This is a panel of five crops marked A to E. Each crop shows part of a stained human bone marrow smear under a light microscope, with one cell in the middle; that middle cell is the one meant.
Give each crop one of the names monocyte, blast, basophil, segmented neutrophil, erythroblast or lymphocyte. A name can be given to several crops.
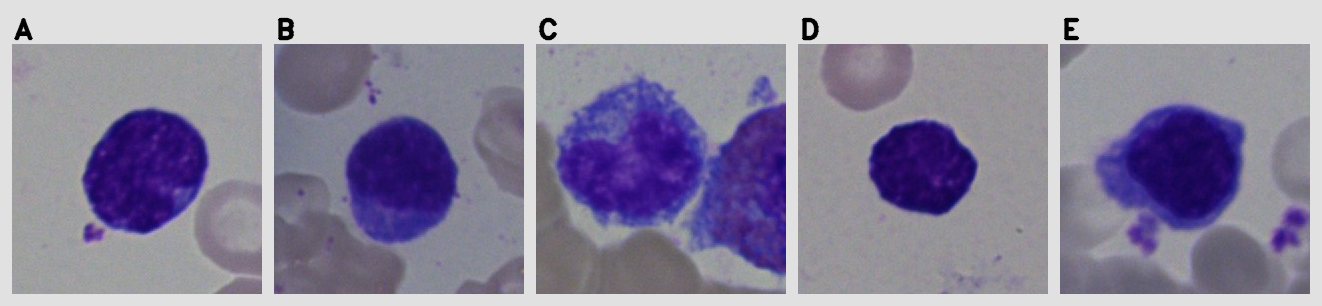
A: blast
B: lymphocyte
C: monocyte
D: blast
E: lymphocyte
